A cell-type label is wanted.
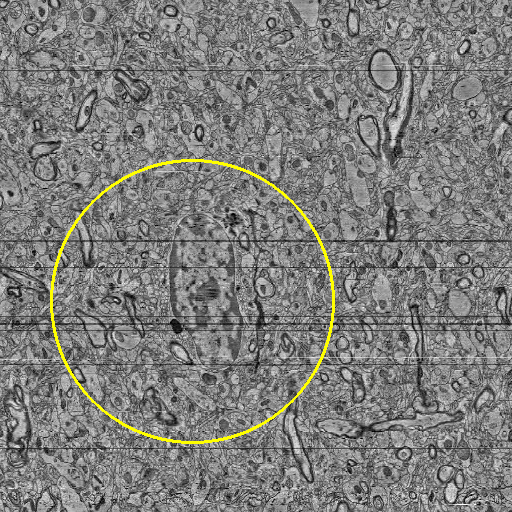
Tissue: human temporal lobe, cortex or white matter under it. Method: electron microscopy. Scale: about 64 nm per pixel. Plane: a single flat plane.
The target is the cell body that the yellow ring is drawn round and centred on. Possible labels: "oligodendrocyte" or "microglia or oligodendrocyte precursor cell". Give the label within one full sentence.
Of the labels offered, the cell in the middle of the yellow ring is a microglial cell or oligodendrocyte precursor cell.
